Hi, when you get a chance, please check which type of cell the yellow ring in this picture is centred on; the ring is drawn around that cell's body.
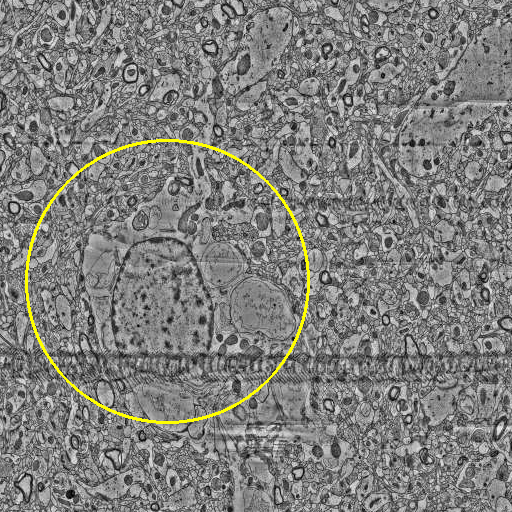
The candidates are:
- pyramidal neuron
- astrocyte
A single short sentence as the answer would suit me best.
The ring is drawn around the body of an astrocyte.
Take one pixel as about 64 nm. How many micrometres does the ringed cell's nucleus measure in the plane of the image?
Roughly 9 by 6 micrometres is the size of the nucleus in this plane.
